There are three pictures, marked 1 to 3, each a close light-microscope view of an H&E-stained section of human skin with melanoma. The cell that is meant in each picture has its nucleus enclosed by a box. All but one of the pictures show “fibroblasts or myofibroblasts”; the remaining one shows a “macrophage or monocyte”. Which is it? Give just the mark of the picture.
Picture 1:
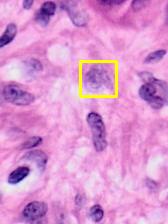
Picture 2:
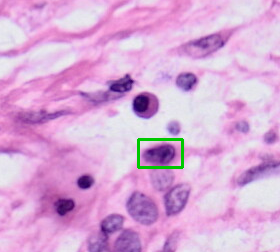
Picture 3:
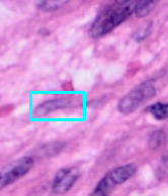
2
